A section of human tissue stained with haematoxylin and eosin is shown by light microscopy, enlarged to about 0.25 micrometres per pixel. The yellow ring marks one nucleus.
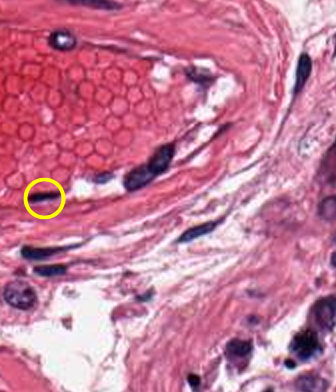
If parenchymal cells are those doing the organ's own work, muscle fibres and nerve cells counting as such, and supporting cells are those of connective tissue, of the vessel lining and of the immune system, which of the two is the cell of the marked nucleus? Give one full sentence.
A supporting cell is what the marked nucleus belongs to.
